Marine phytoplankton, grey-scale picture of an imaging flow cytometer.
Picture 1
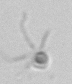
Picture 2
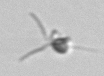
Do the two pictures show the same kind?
Yes, both are Ophiaster.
